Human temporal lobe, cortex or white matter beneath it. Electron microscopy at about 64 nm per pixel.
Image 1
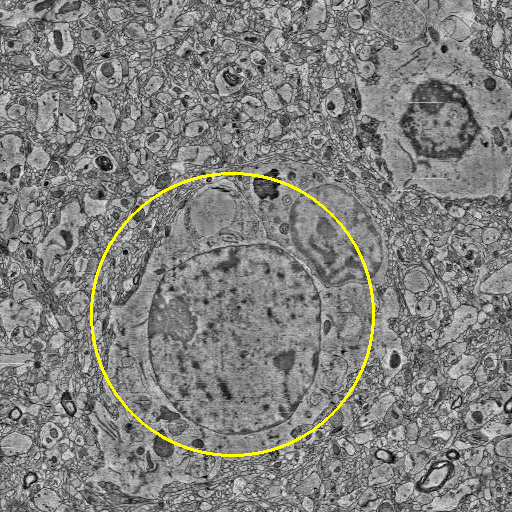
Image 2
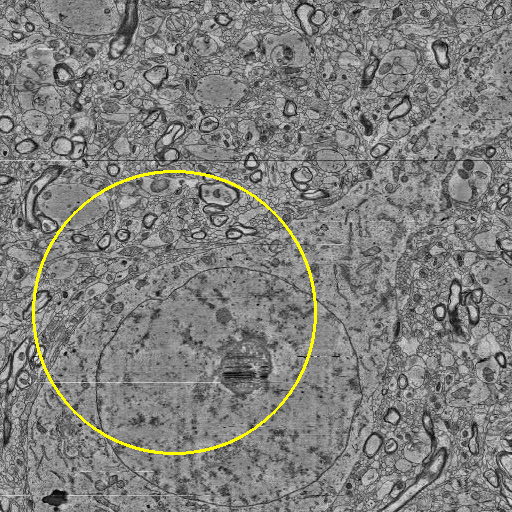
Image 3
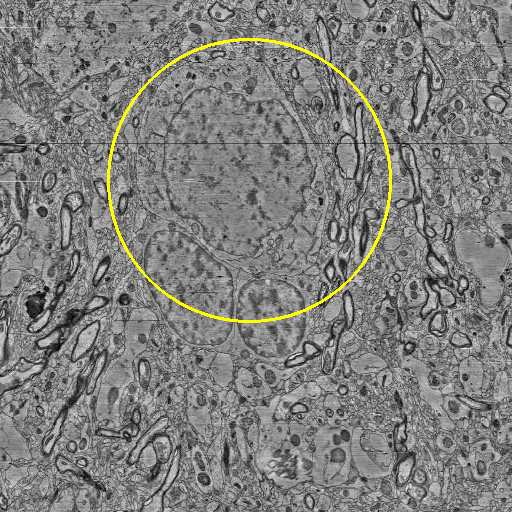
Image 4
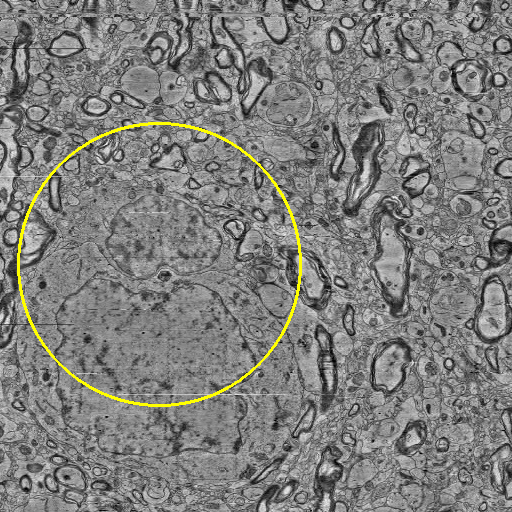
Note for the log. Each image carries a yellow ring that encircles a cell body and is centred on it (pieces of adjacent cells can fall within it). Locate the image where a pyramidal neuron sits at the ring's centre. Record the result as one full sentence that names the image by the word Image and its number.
Image 2 has the wanted cell sitting at the centre of its ring.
